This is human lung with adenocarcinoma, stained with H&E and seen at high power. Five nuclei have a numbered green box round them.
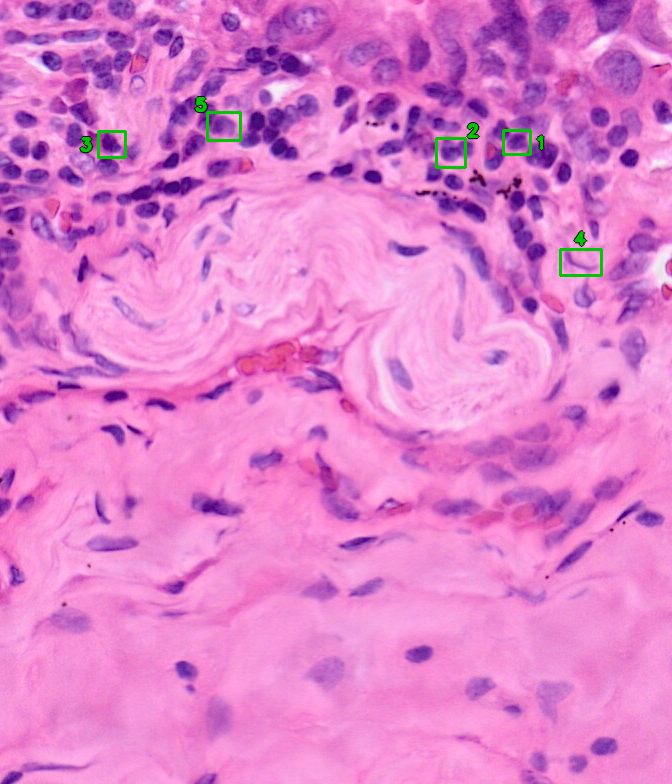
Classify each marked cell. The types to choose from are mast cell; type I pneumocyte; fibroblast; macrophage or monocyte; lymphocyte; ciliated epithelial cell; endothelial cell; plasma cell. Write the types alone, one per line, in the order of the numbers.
lymphocyte
lymphocyte
plasma cell
fibroblast
lymphocyte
